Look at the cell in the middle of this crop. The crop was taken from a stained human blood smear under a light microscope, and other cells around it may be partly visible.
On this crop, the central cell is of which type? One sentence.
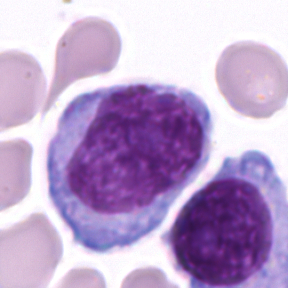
The cell the crop is centered on is a plasma cell.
